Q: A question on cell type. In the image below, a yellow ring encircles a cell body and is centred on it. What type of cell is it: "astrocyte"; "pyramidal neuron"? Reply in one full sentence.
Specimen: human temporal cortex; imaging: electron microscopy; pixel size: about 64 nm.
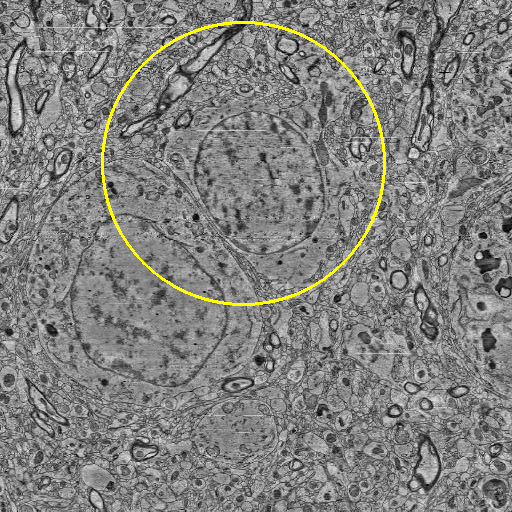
It is an astrocyte whose cell body sits at the centre of the yellow ring in the image.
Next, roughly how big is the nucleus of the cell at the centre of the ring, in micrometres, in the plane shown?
In this plane the nucleus measures roughly 9 by 8 micrometers.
